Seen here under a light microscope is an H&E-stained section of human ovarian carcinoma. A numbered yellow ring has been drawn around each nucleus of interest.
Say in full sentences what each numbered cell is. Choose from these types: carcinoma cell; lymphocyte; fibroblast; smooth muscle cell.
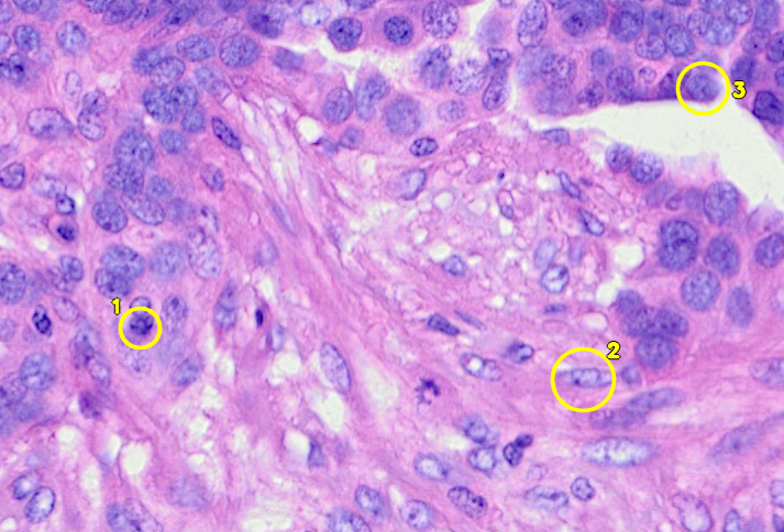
Cell 1 is a lymphocyte. Cell 2 is a fibroblast. Cell 3 is a carcinoma cell.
